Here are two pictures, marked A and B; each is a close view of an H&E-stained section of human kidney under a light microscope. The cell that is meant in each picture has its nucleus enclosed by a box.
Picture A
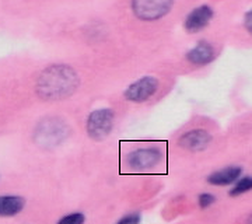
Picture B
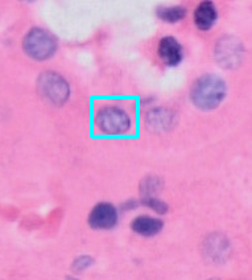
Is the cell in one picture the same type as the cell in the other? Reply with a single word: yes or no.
yes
